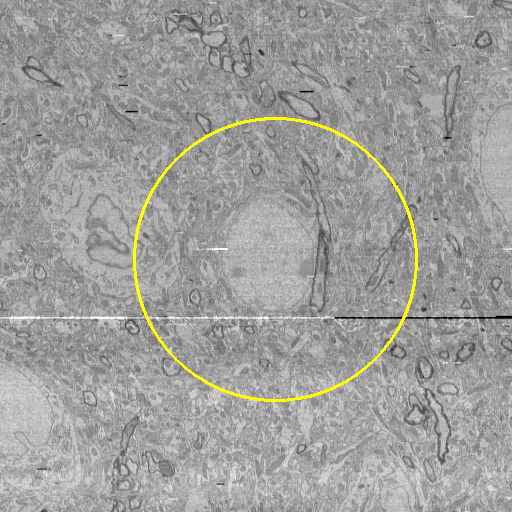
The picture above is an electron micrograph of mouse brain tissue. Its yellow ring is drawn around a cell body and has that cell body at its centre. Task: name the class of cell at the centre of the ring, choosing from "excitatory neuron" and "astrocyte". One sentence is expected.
The ring surrounds the body of an astrocyte.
